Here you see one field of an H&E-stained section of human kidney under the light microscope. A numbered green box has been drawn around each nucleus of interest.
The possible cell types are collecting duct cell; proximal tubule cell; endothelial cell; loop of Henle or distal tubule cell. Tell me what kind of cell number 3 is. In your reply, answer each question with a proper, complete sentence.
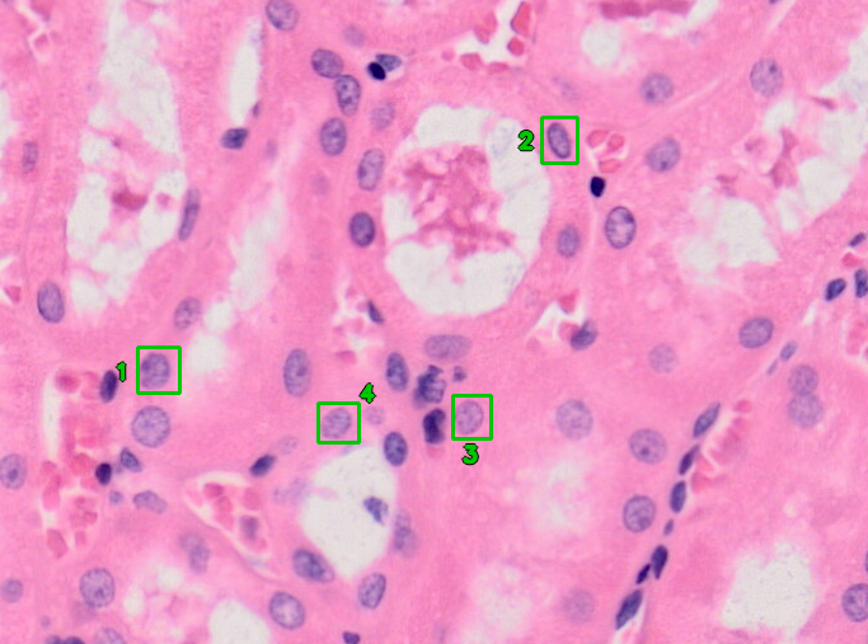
The one numbered 3 among the marked cells is a proximal tubule cell.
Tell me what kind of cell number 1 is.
The numeral 1 marks a proximal tubule cell in this section.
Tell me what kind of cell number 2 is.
The correct label for cell 2 is a proximal tubule cell.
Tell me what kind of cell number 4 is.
The one labeled 4 is a loop of Henle or distal tubule cell, to put it simply.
